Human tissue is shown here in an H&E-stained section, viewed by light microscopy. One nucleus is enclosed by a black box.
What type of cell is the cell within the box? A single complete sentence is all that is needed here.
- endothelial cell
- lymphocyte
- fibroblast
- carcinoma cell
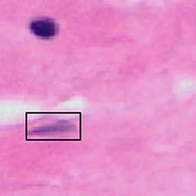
Considered by cell type, the cell within the box is a fibroblast.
